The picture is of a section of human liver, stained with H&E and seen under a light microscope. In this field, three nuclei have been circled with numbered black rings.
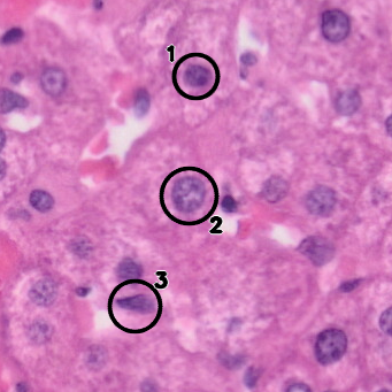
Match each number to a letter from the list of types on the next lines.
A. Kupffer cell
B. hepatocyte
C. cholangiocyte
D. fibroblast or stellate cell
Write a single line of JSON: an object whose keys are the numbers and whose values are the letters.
{"1": "B", "2": "B", "3": "D"}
